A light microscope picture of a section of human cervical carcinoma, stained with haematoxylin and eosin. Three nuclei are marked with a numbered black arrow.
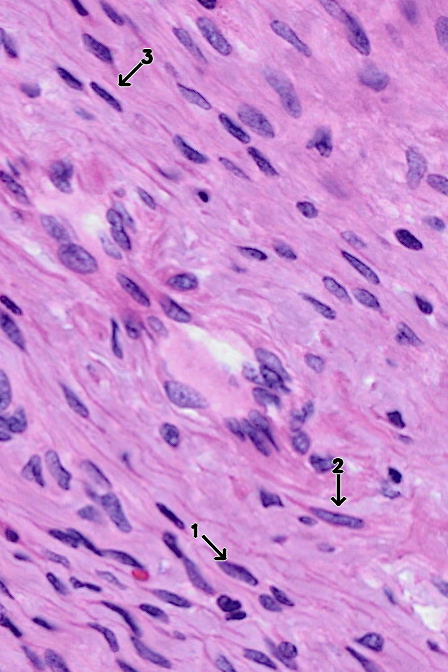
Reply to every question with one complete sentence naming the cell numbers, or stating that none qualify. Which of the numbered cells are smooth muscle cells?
Of the marked cells, the one numbered 2 is a smooth muscle cell and the rest are not.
